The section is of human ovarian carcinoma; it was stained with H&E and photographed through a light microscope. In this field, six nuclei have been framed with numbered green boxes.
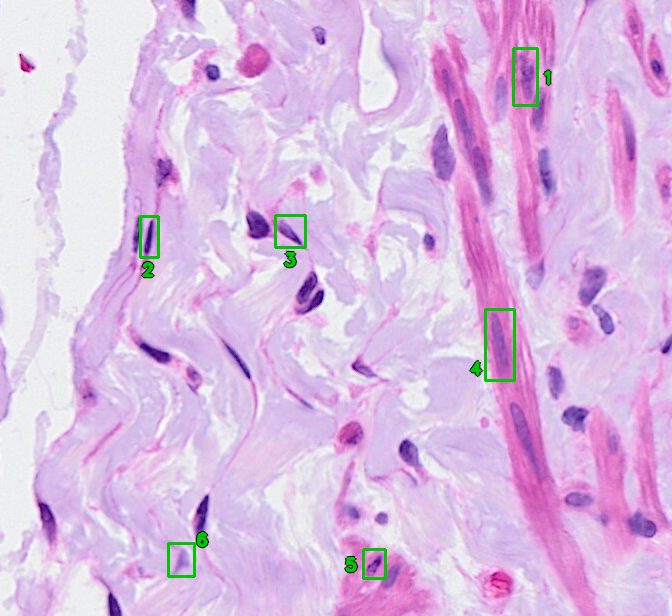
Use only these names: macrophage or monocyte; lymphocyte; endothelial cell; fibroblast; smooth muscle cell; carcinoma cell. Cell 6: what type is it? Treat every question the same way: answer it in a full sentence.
Cell 6 should be recorded as a fibroblast.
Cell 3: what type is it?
The cell carrying label 3 is identified as a fibroblast.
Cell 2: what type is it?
The cell that carries the label 2 is a fibroblast.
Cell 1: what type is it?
The cell given label 1 is a smooth muscle cell.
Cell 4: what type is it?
To a smooth muscle cell belongs the nucleus marked 4.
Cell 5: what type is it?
Belonging to a smooth muscle cell is the nucleus that carries the number 5.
